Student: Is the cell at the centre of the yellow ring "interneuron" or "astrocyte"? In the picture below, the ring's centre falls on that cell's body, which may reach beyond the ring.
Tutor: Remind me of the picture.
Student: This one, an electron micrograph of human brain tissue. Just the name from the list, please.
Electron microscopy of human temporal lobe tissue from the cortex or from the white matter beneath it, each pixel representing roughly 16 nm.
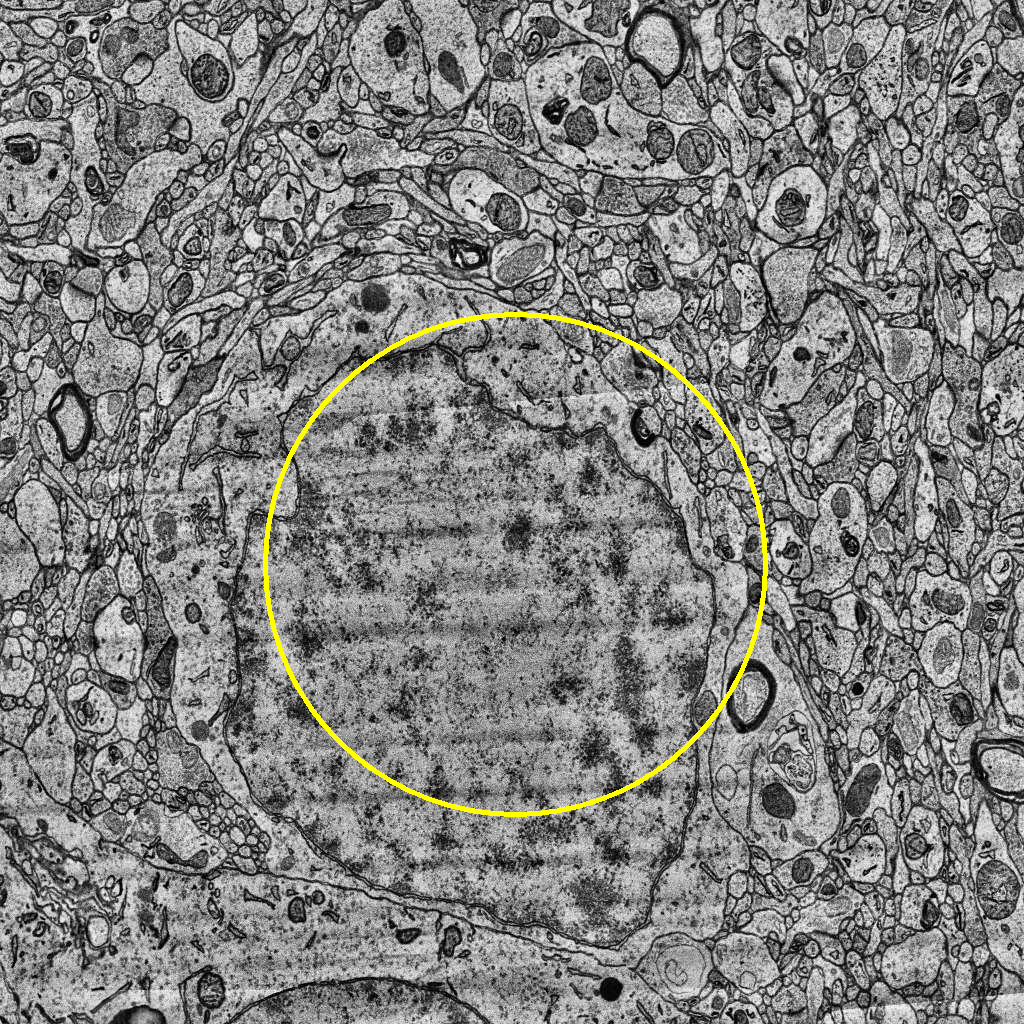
interneuron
